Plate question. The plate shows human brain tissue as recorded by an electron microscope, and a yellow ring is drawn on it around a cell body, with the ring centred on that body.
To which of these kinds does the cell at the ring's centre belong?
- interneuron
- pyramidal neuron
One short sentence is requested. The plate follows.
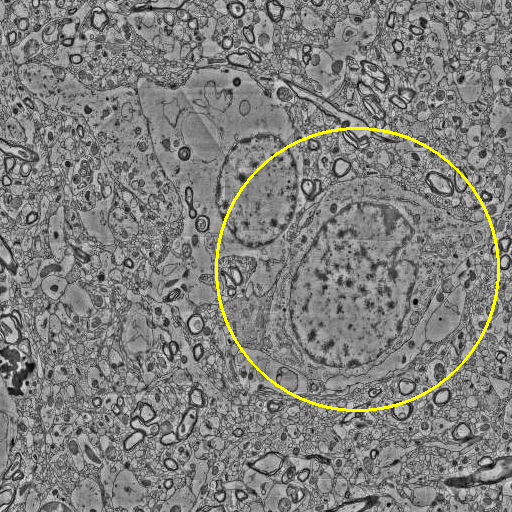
The cell at the ring's centre is an interneuron.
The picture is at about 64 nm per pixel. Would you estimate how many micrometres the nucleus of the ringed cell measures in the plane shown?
In this plane the nucleus is about 11 micrometres by 8.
